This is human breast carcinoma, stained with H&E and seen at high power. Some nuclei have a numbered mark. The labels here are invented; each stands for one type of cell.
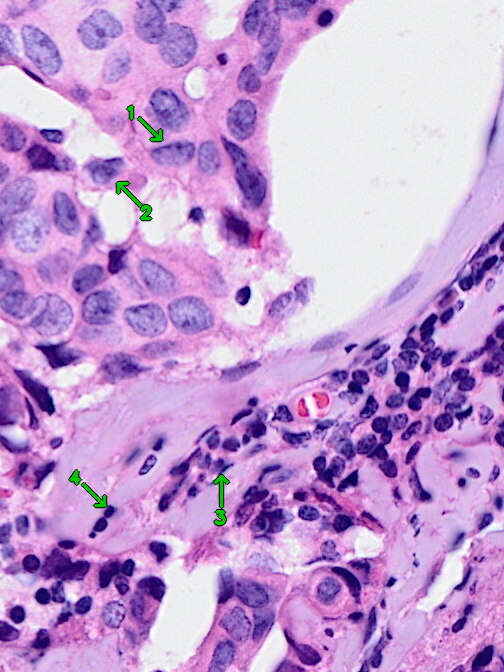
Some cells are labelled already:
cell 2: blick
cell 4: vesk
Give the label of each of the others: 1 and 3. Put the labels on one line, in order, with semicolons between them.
blick; vesk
